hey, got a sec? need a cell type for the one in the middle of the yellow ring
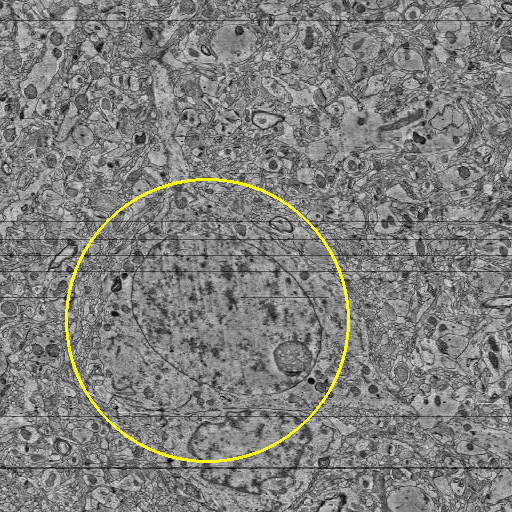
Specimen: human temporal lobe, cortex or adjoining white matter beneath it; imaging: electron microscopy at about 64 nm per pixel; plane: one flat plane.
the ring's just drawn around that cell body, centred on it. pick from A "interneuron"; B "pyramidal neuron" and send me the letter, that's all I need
B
